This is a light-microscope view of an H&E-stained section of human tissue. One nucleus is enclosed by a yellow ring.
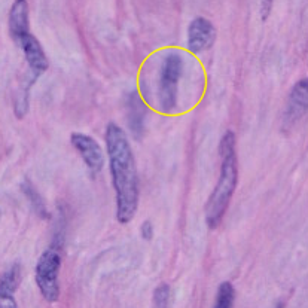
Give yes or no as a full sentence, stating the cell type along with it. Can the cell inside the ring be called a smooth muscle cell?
Yes, the cell inside the ring is to be classified as a smooth muscle cell.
